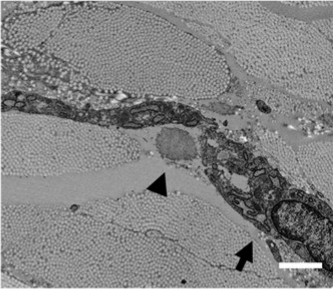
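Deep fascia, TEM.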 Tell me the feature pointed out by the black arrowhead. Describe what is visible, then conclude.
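Elastic fiber. A small rounded, homogeneous grey profile without fibrillar pattern. It lies in the matrix between bundles of cross-cut fibrils.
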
